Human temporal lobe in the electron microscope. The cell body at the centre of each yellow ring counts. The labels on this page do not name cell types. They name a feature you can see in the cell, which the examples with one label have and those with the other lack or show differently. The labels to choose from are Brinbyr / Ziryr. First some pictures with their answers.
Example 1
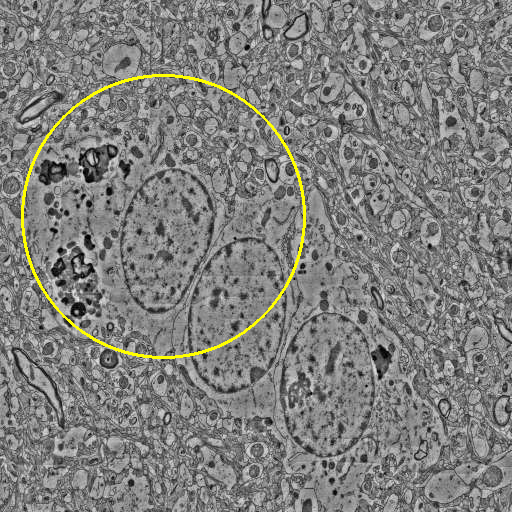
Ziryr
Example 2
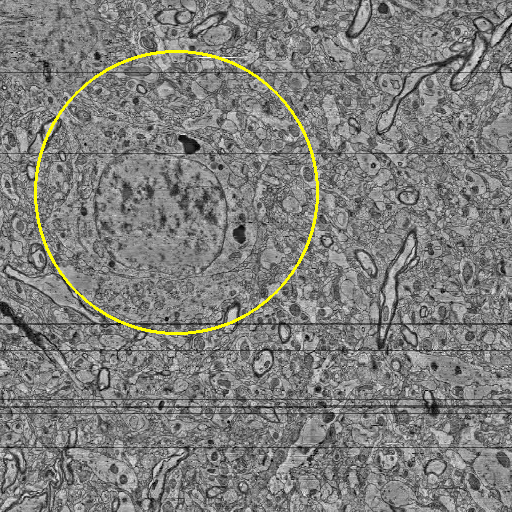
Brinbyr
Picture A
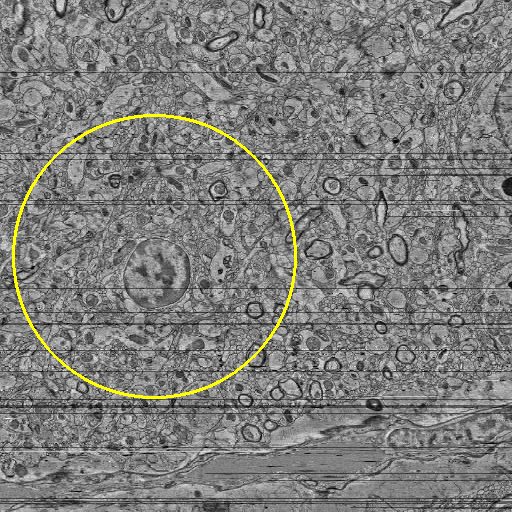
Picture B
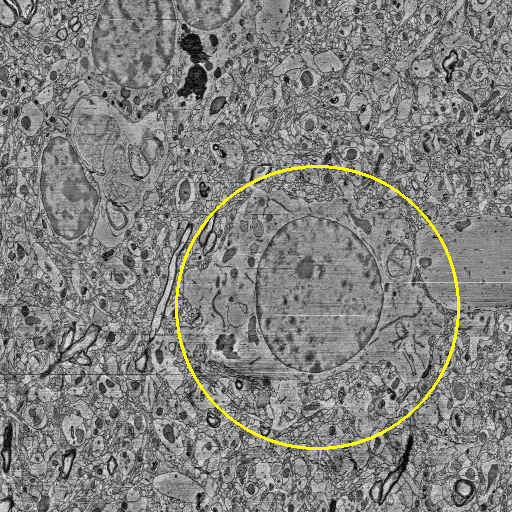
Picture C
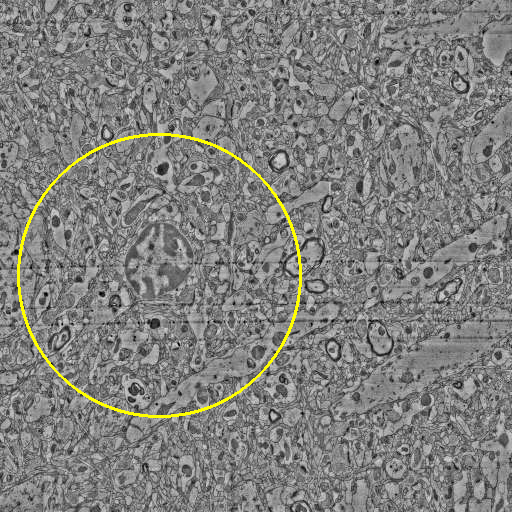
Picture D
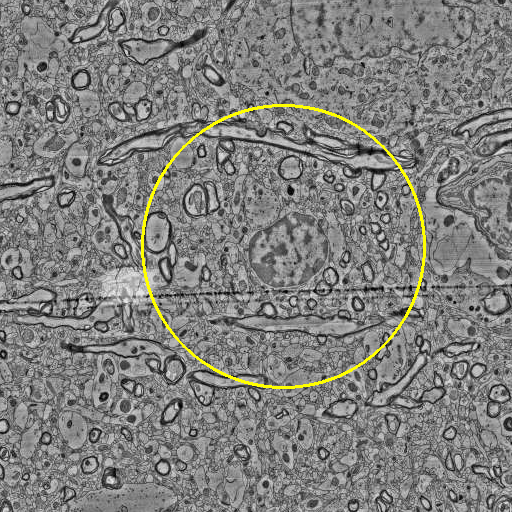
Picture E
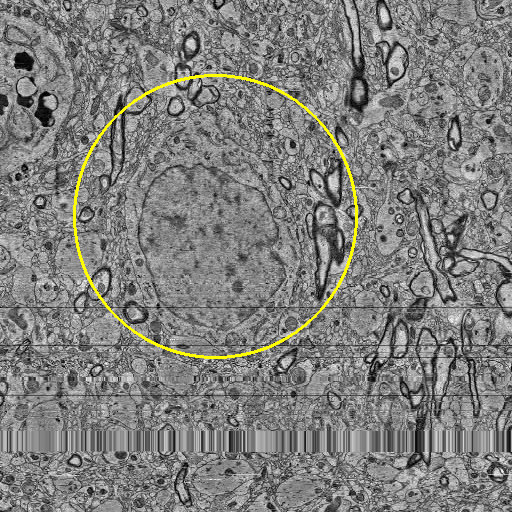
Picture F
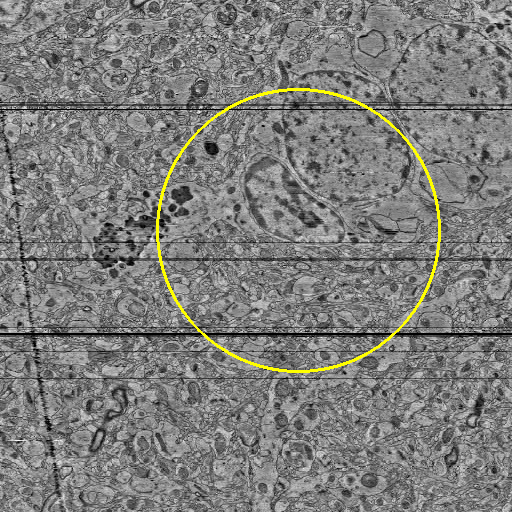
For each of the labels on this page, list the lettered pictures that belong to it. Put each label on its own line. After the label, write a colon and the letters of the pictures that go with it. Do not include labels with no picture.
Brinbyr: A, B, C, D, E
Ziryr: F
